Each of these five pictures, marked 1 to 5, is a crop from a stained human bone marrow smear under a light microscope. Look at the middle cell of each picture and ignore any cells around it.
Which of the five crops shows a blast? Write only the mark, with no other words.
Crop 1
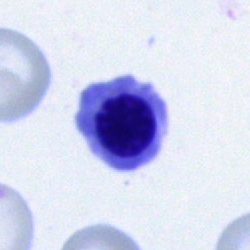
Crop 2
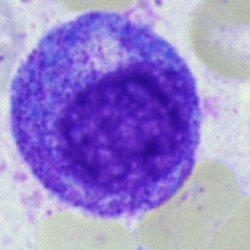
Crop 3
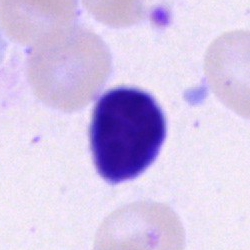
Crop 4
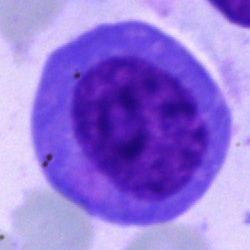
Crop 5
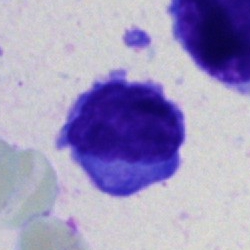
4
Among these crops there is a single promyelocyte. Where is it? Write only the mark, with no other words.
2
